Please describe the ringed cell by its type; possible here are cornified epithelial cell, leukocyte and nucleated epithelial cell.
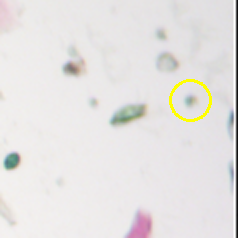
The yellow ring marks a leukocyte.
